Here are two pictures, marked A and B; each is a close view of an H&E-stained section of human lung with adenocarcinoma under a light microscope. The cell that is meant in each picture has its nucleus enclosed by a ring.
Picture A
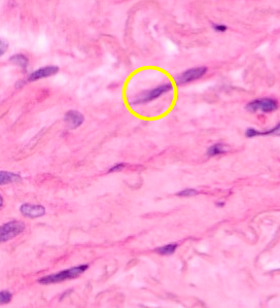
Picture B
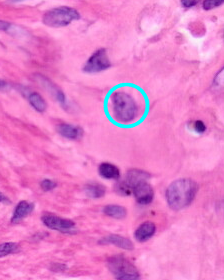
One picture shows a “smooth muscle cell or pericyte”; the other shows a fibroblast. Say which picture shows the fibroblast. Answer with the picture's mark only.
B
